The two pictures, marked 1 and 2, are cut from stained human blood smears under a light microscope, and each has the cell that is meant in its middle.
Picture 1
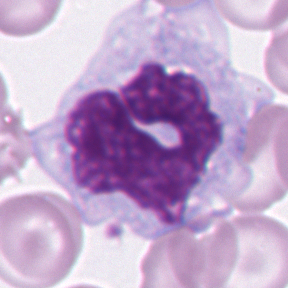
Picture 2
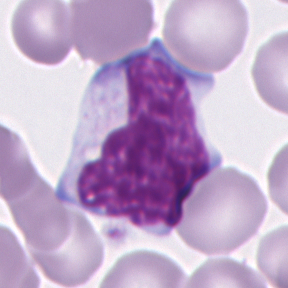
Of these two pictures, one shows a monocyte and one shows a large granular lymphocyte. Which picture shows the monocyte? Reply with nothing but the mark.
1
